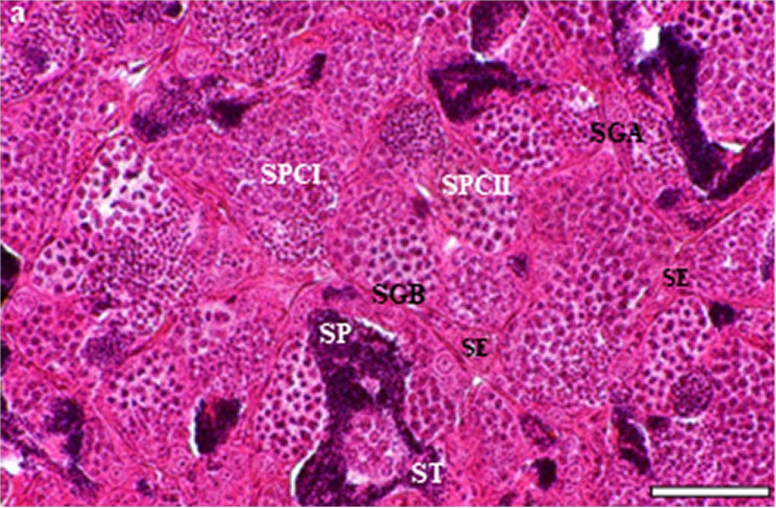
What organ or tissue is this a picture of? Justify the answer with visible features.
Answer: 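Testes. Tubules packed with germ cells at several stages. Dark, densely packed clusters of tiny nuclei in some lumina. Thin pink strands of interstitial tissue between tubules.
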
